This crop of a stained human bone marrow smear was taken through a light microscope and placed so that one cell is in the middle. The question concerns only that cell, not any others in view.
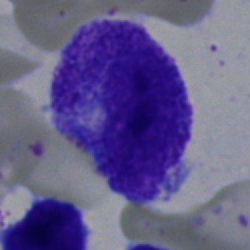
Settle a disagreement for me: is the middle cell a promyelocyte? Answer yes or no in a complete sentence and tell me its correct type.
Yes, the cell occupying the center is a promyelocyte.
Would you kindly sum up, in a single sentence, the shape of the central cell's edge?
Irregularity marks the cell border, whether as raggedness or as projections.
